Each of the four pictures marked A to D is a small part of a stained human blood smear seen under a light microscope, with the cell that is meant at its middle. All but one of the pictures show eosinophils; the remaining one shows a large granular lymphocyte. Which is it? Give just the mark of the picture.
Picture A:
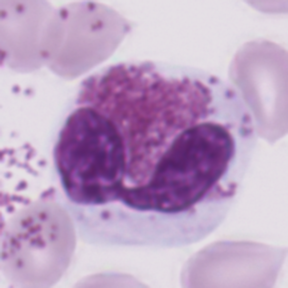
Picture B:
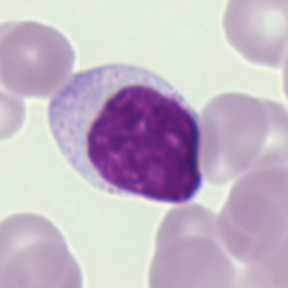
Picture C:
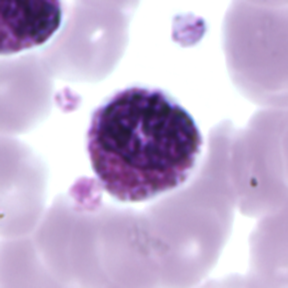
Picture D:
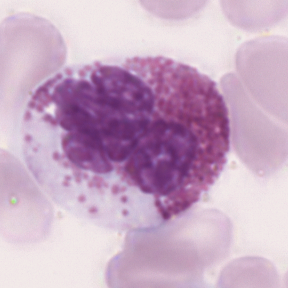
B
